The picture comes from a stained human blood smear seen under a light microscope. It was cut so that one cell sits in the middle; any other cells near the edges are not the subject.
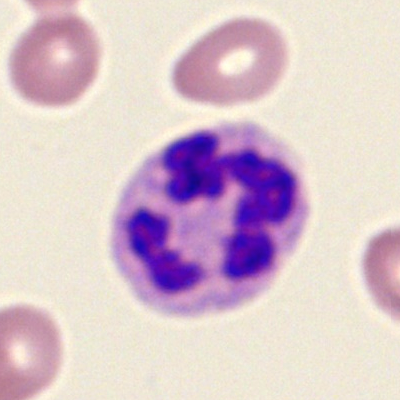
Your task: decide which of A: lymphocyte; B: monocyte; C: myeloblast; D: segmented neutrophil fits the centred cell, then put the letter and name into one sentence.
Option D is the correct selection, for the cell at the centre is a segmented neutrophil.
